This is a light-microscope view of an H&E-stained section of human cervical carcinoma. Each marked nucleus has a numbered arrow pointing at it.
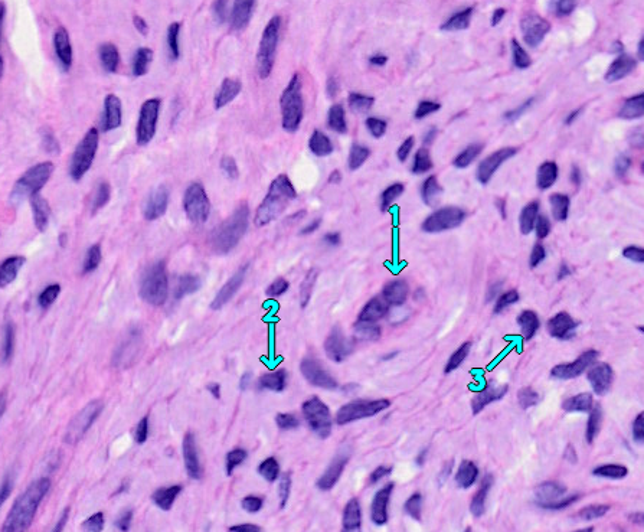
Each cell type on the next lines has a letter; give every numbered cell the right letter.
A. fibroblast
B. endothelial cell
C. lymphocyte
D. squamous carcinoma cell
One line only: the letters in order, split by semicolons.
B; A; A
